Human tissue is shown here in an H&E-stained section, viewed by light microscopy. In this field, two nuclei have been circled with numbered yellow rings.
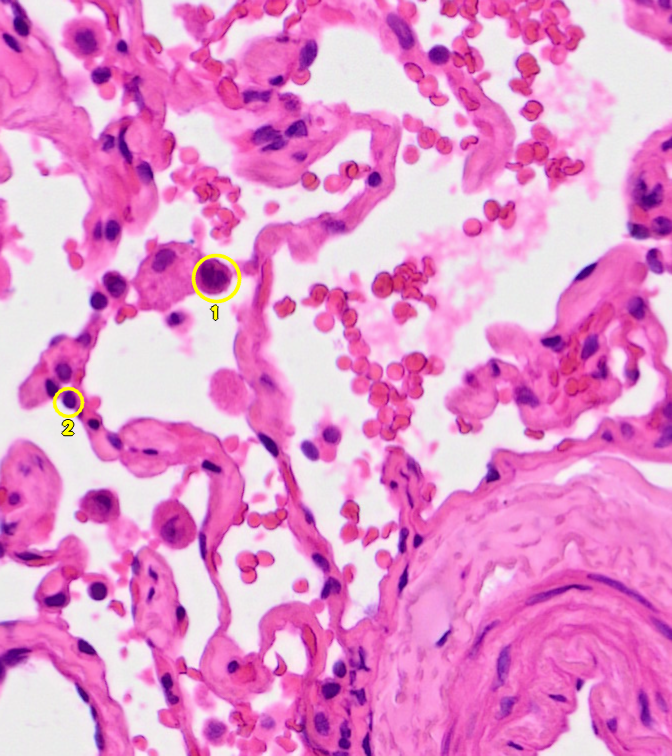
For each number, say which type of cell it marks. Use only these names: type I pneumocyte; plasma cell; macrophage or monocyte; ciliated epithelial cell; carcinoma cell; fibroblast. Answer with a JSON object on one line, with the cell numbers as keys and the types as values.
{"1": "macrophage or monocyte", "2": "type I pneumocyte"}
